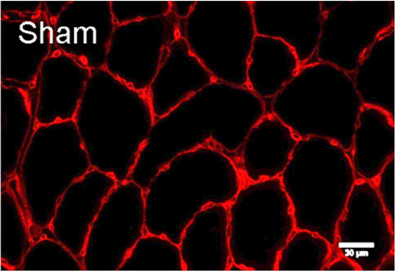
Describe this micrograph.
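Transverse section of skeletal muscle showing muscle fibers cut in cross-section. Each fiber appears as a dark, unstained polygonal profile, and the fibers are tightly packed against one another. A thin, continuous red border surrounds every fiber, marking the boundary between neighbouring fibers, so the section looks like a honeycomb-like network of red lines. The red borders are somewhat thicker where three or more fibers meet at their corners. No fiber interiors are stained, and no nuclei are shown.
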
